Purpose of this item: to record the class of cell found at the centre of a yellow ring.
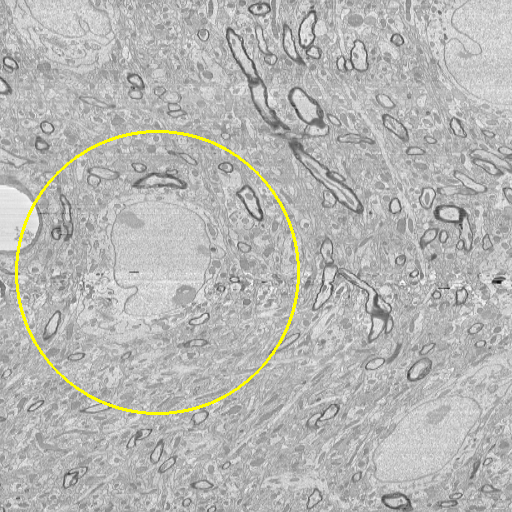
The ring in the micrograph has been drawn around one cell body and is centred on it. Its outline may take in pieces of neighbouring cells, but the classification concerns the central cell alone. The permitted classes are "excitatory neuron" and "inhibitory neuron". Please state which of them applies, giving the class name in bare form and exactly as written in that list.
excitatory neuron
